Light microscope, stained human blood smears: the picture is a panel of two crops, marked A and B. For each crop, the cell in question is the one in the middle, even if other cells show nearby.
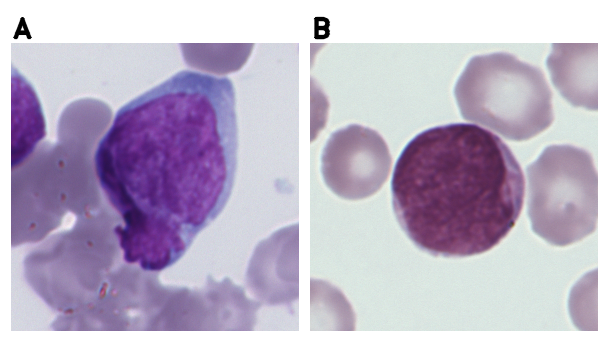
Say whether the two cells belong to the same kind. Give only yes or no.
yes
